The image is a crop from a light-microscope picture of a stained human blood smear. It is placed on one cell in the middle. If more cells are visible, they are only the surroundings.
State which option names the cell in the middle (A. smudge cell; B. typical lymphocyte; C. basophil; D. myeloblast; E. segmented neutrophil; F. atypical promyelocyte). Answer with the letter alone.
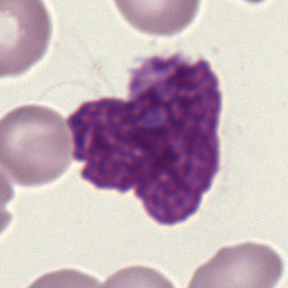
A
